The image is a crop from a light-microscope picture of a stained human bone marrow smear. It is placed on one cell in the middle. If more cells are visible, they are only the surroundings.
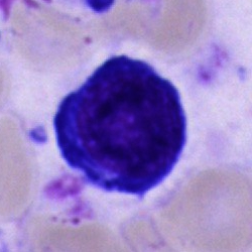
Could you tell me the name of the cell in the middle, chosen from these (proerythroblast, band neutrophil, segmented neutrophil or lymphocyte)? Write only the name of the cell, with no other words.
proerythroblast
